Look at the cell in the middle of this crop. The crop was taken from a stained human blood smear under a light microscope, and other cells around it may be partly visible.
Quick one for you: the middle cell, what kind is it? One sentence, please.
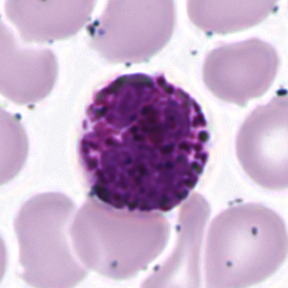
The cell at the central position in this crop is a basophil.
